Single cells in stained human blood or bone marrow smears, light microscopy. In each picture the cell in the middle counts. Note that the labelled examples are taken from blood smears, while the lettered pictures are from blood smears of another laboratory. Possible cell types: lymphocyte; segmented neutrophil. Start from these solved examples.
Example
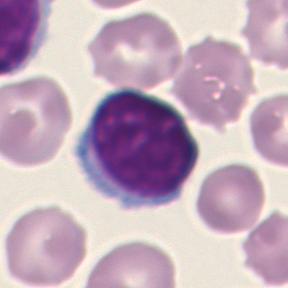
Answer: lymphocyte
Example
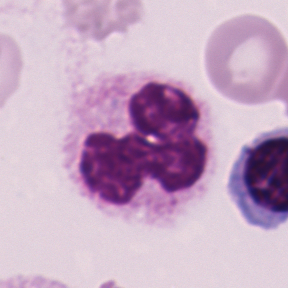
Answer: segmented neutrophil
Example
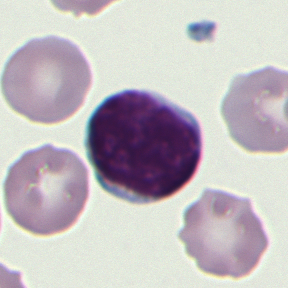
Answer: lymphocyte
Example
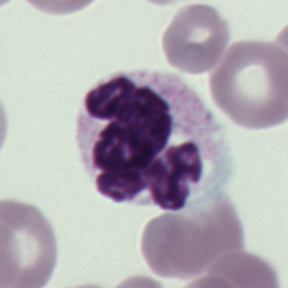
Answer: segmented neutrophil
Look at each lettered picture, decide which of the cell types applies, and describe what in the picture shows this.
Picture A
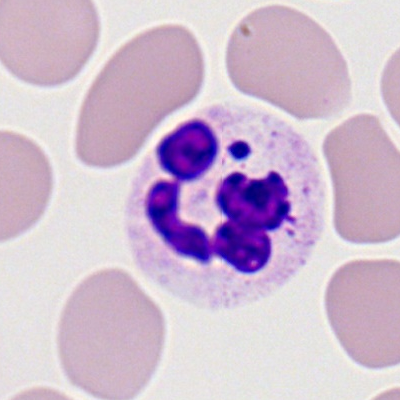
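segmented neutrophil: The cytoplasm is plentiful and pale pinkish-lilac.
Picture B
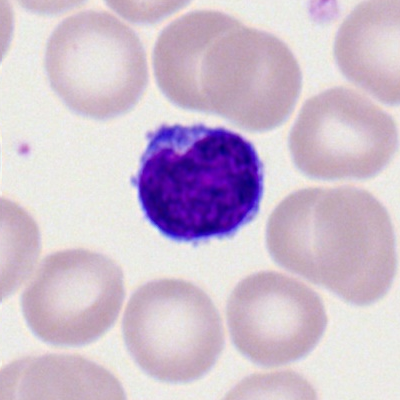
lymphocyte: The nucleus fills almost the whole cell.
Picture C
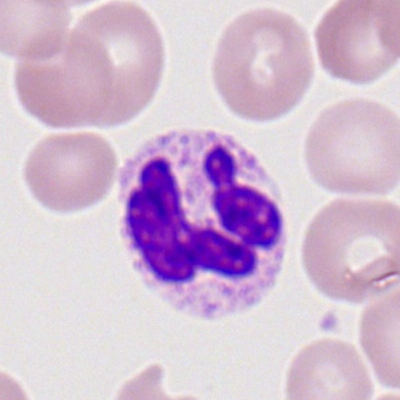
segmented neutrophil: The nucleus is divided into several lobes.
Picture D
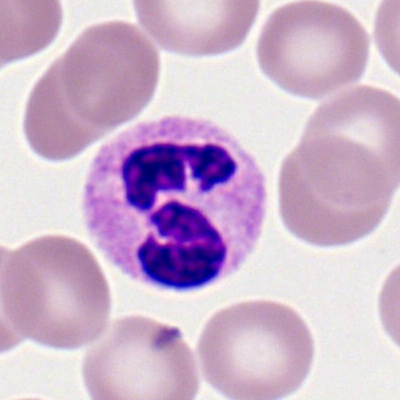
segmented neutrophil: The cytoplasm is abundant around the nucleus.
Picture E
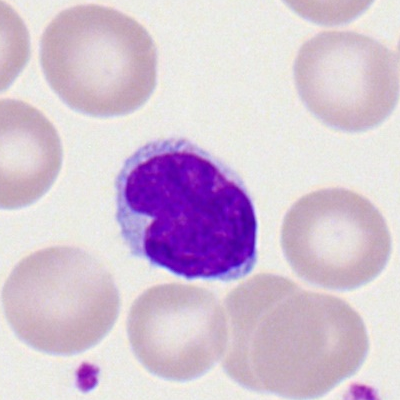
lymphocyte: The nucleus has a single notch cut into its left side, giving it a kidney shape.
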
